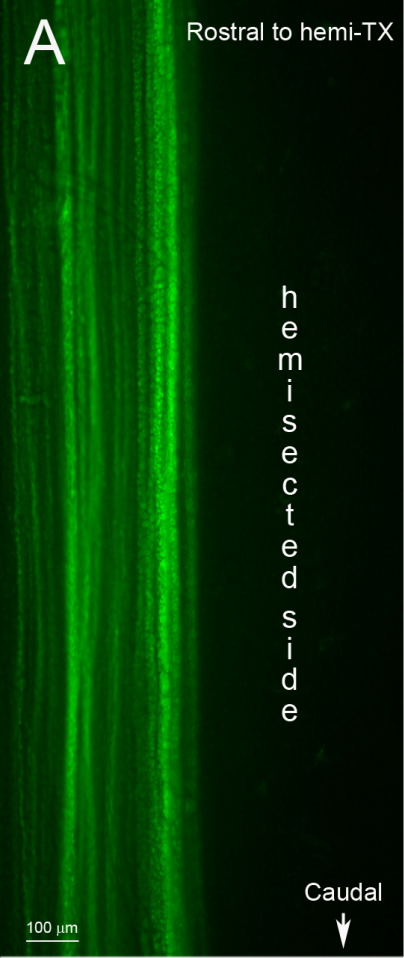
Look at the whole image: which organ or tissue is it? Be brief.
Spinal cord.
